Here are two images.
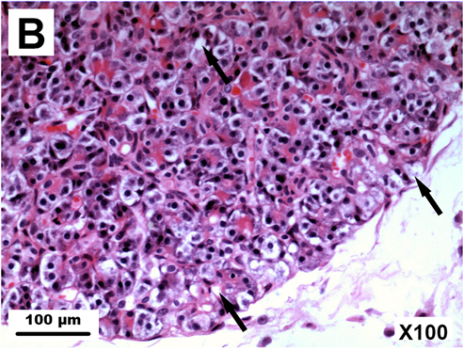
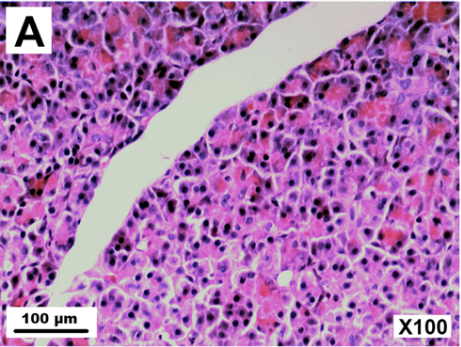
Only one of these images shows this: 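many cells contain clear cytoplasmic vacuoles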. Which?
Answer: The first image.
